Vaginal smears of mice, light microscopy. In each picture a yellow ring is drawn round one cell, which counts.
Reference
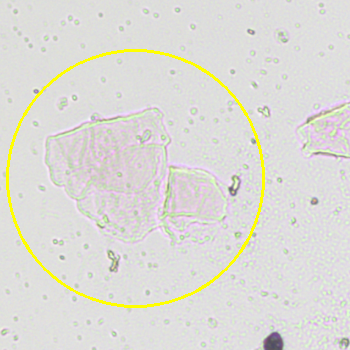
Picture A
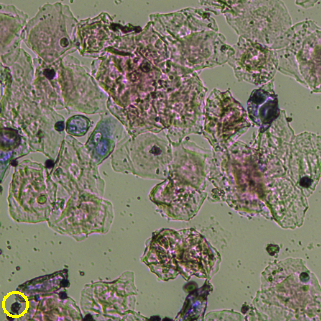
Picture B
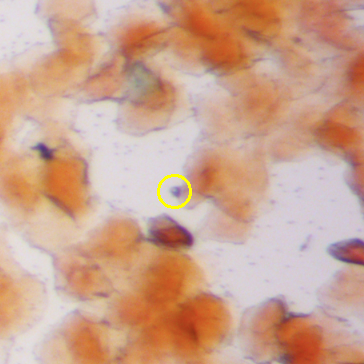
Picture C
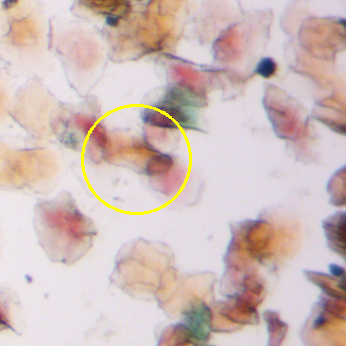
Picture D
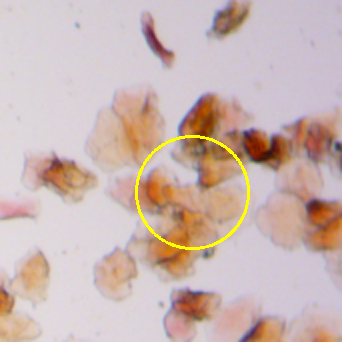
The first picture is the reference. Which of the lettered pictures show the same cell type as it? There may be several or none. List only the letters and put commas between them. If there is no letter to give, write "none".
C, D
